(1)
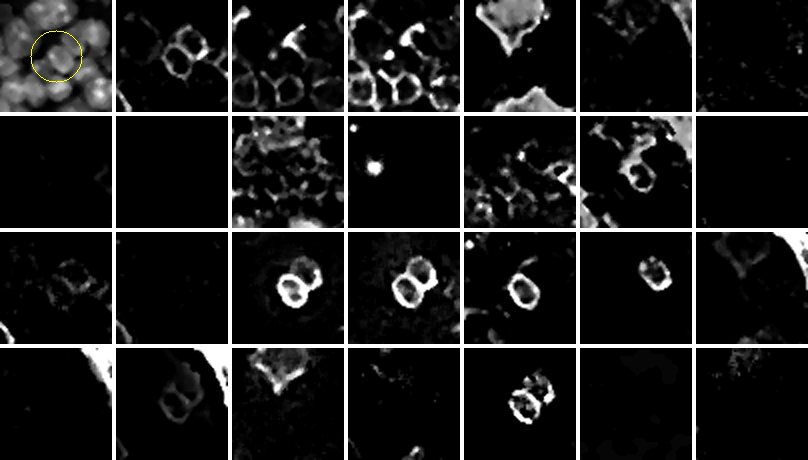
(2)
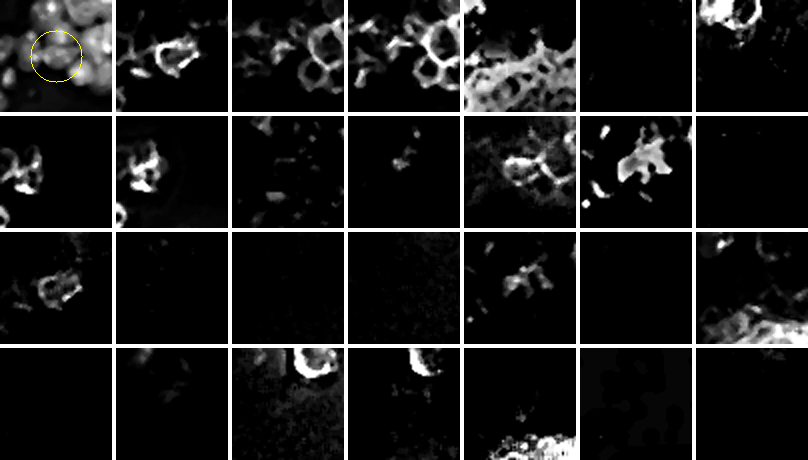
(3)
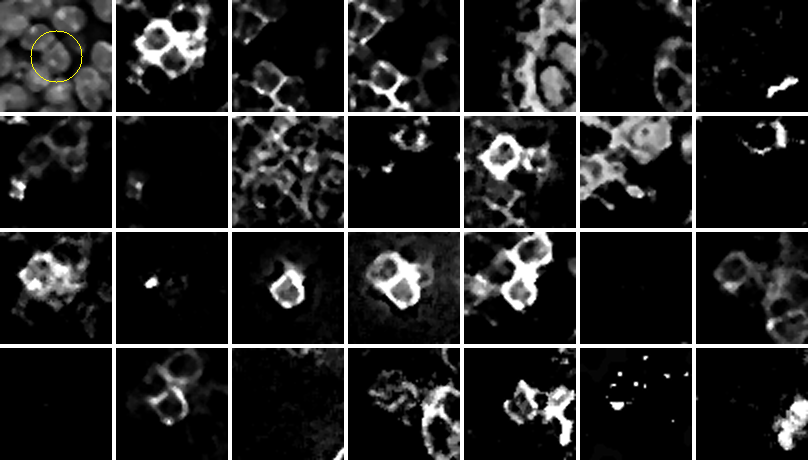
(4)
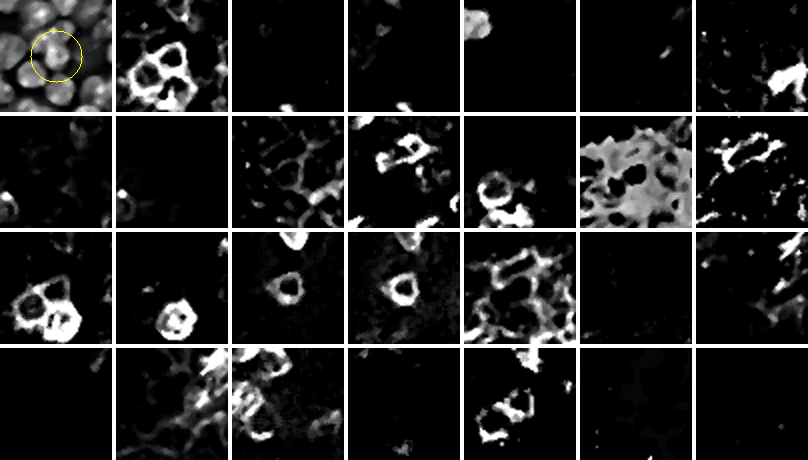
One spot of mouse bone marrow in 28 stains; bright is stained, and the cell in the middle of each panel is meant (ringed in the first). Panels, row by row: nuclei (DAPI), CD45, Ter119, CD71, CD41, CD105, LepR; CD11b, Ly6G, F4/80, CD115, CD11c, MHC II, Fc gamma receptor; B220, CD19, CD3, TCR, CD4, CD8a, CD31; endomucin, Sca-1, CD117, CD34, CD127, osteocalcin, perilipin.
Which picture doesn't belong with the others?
Picture 2.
